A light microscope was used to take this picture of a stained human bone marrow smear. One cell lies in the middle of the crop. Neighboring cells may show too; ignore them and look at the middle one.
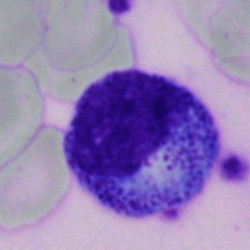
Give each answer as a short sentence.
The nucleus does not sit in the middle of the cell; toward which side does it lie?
The nucleus is pushed toward the upper left of the cell.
